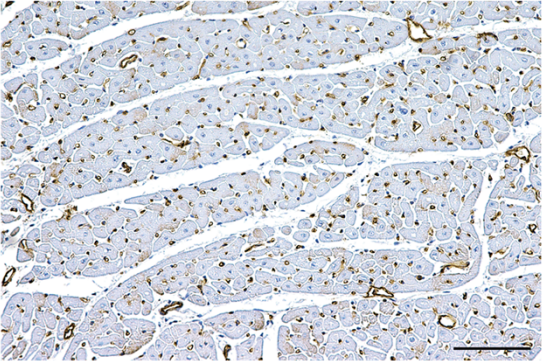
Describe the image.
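Myocardium cut transversely: cardiomyocytes appear as pale, closely packed polygonal profiles, many with a small central blue nucleus. Fibres are grouped into bundles separated by white clefts of loose interstitium. Between individual fibres lie numerous small brown-stained dots and rings, the capillaries, roughly one or more beside each fibre. In the clefts between bundles a few larger vessels with brown-lined open lumens are seen.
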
